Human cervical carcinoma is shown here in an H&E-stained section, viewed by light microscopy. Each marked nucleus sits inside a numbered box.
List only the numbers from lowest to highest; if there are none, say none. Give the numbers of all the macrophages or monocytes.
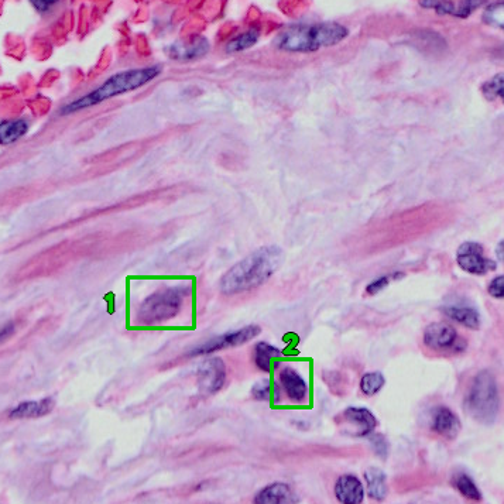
1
